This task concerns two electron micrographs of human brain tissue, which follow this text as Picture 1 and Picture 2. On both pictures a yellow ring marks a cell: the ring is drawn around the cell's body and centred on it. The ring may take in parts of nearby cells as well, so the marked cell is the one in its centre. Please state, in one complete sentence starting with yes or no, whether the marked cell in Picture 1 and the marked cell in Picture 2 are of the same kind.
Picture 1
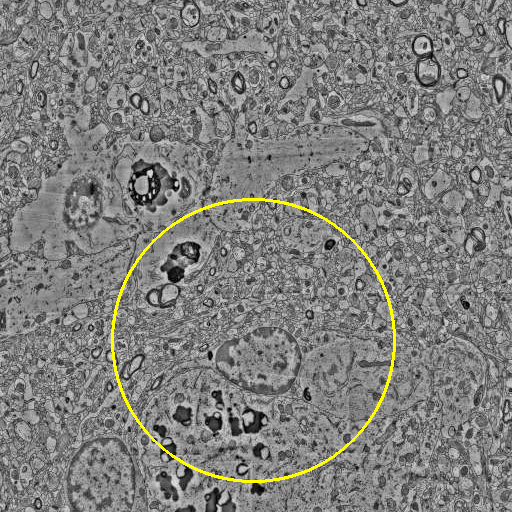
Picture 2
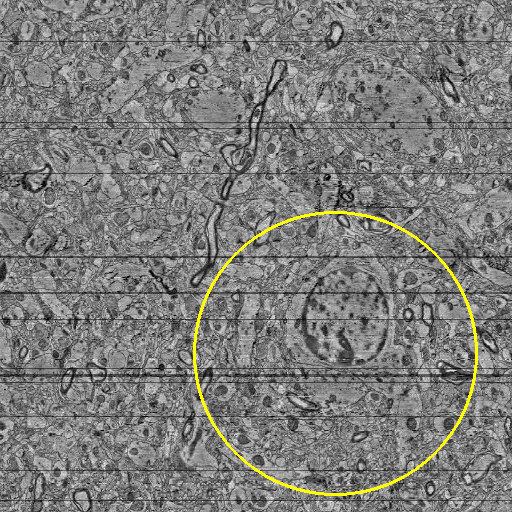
Yes, the marked cells in both pictures are of the same kind.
